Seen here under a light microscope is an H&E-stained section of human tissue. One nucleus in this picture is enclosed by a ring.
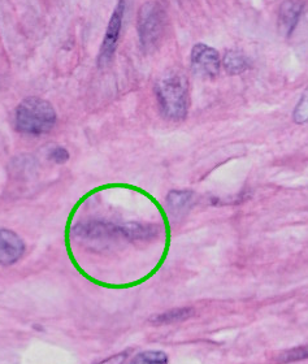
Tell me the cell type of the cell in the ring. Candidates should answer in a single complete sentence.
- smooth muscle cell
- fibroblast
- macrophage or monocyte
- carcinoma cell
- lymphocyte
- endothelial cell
By its classification, the cell in the ring is a fibroblast.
